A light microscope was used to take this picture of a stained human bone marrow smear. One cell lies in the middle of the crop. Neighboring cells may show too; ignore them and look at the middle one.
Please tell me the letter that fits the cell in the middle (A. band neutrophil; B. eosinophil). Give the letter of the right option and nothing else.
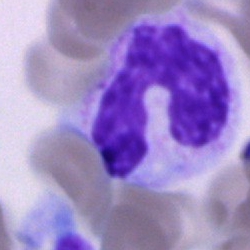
A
